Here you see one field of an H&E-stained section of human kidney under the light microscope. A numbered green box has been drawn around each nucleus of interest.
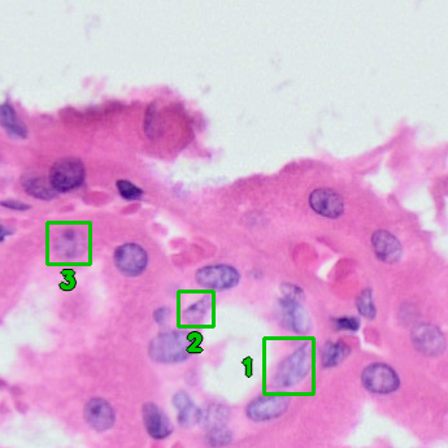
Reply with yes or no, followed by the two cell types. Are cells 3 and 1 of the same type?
No, cell 3 is a proximal tubule cell and cell 1 is a collecting duct cell.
